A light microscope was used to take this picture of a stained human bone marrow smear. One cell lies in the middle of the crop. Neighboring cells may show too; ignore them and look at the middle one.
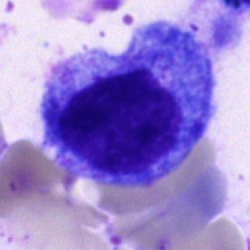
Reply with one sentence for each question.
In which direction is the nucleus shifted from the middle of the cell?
Toward the lower left of the cell lies its nucleus.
